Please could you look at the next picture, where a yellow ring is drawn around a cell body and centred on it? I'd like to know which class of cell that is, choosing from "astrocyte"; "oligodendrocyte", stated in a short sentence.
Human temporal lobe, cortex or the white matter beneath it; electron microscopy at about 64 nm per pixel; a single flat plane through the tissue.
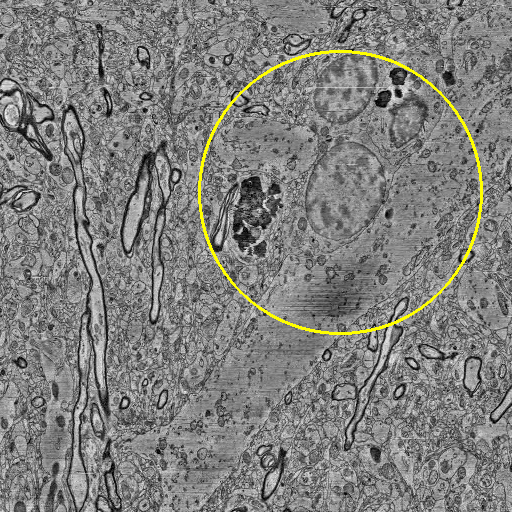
The ring's centre lies on an oligodendrocyte.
